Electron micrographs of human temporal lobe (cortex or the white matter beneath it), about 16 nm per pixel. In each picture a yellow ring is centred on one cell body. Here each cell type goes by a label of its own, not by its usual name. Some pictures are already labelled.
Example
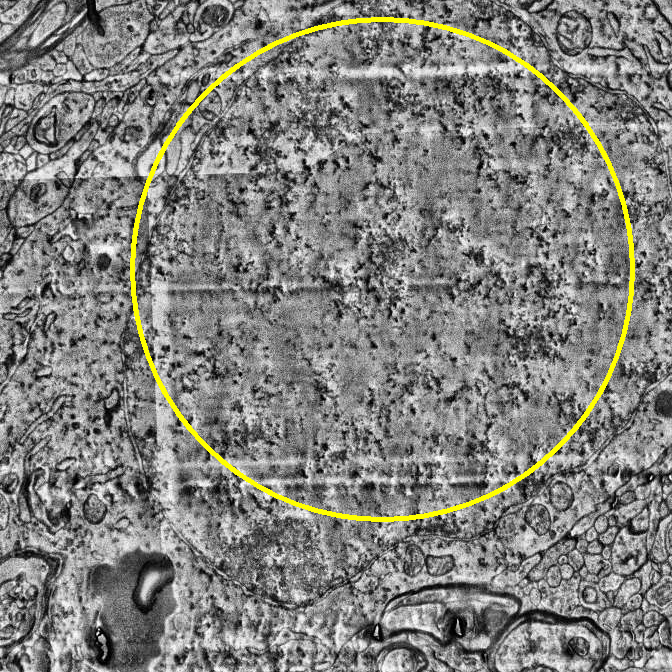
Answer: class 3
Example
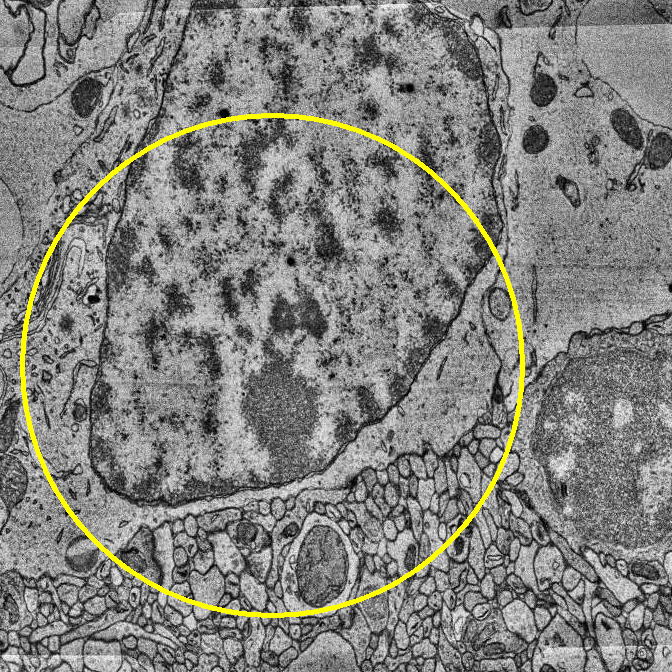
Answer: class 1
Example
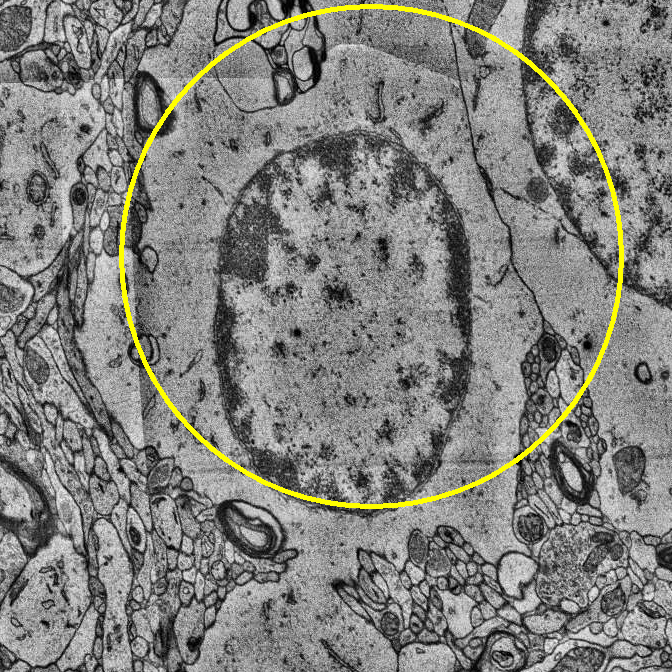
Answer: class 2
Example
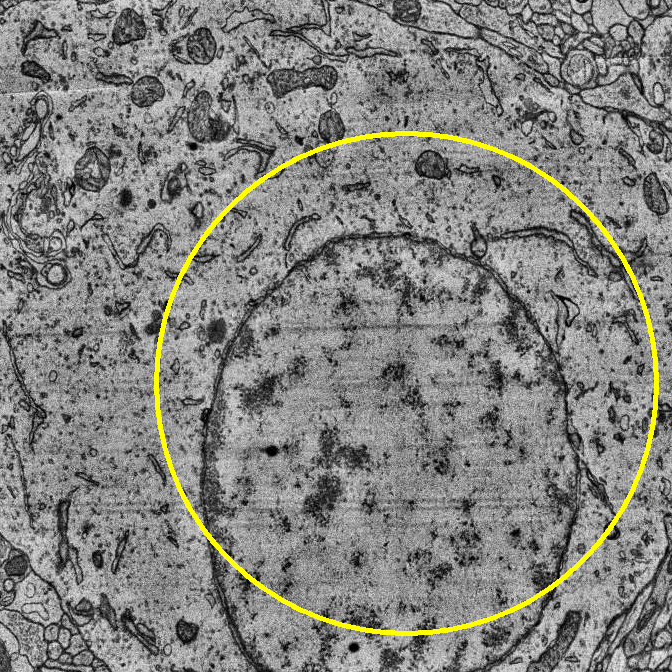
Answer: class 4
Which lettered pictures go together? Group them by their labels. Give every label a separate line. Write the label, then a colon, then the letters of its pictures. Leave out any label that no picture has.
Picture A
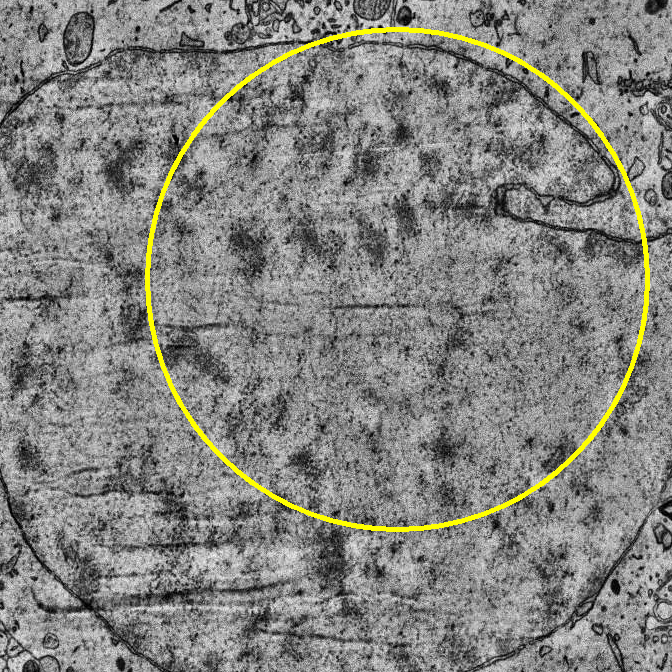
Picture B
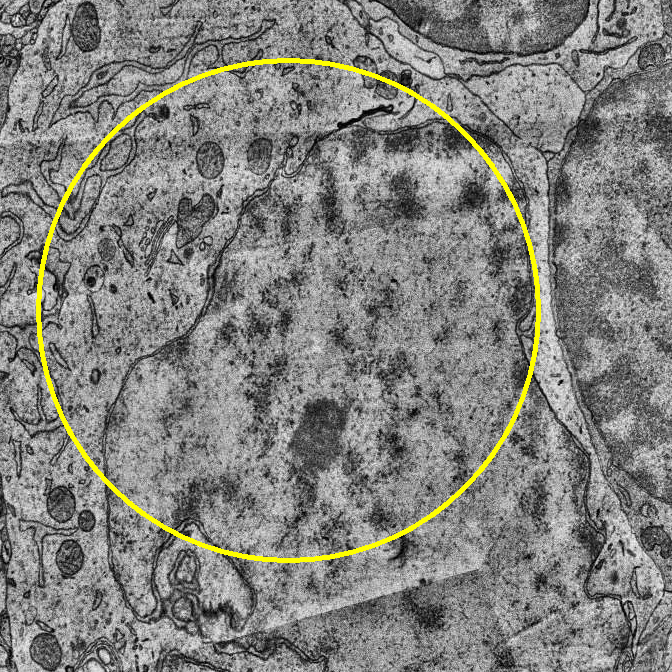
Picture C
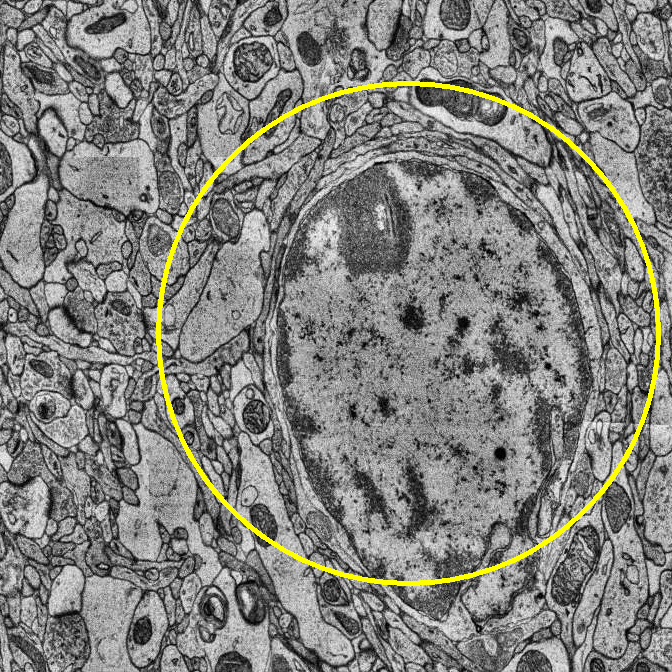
class 3: B
class 1: C
class 4: A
